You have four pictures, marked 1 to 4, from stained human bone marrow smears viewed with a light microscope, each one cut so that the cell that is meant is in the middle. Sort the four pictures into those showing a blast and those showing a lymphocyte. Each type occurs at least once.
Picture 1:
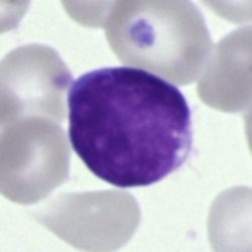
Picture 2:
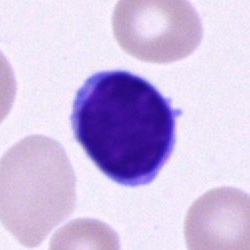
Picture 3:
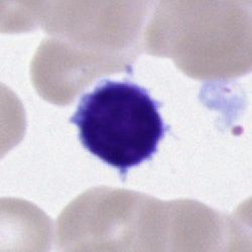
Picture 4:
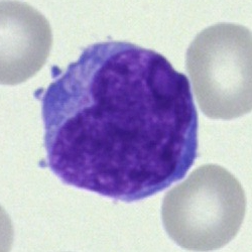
1: blast
2: lymphocyte
3: lymphocyte
4: blast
